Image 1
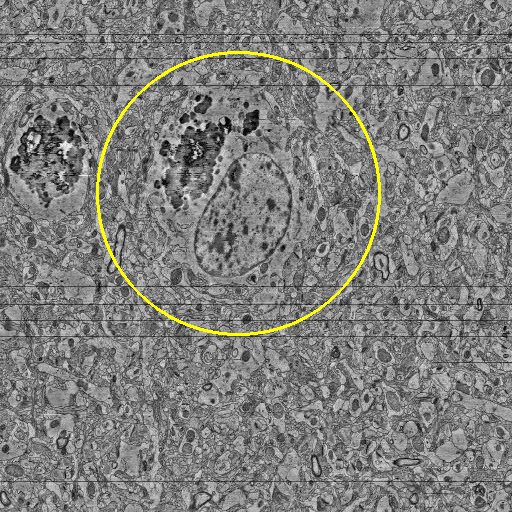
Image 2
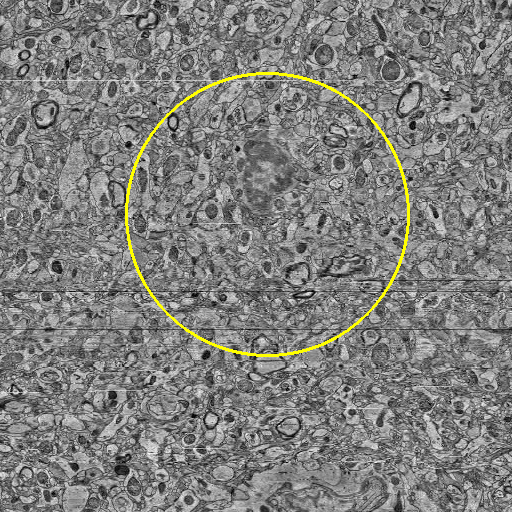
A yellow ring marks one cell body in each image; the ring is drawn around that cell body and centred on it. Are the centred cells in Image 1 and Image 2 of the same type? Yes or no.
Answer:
no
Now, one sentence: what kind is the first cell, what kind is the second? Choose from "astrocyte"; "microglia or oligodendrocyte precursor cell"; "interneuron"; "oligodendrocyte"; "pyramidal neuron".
The first picture has an astrocyte at its ring centre, and the second has an oligodendrocyte.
